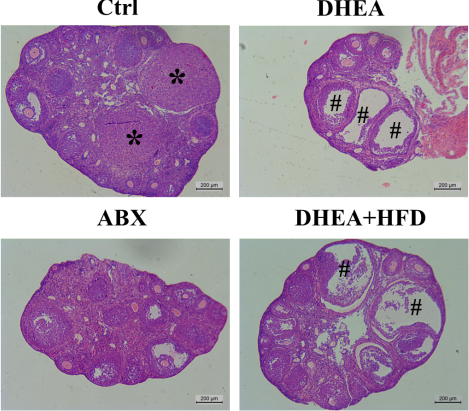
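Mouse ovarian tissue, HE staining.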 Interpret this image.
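Four cross-sections of mouse ovary stained pink and purple show follicles at several sizes scattered through a purple stroma. In the upper left section, two large solid pink masses of tightly packed cells with no cavity fill much of the ovary; these are corpora lutea. In the upper right and lower right sections, several large follicles have wide clear central cavities lined by thin rims of purple granulosa-type cells, the large antral follicles. Solid luteal masses are not evident in those sections. The lower left section shows many small and mid-sized follicles in stroma, without large solid masses or very large cavities.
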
